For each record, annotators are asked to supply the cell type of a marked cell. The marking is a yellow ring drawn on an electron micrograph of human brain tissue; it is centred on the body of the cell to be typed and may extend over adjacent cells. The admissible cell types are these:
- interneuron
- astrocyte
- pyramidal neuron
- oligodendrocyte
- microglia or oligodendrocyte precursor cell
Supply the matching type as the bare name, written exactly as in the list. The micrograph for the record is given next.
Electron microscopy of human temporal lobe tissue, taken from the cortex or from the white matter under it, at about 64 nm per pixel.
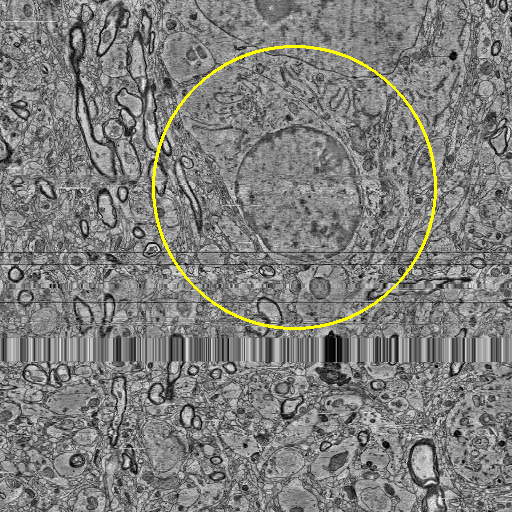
microglia or oligodendrocyte precursor cell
